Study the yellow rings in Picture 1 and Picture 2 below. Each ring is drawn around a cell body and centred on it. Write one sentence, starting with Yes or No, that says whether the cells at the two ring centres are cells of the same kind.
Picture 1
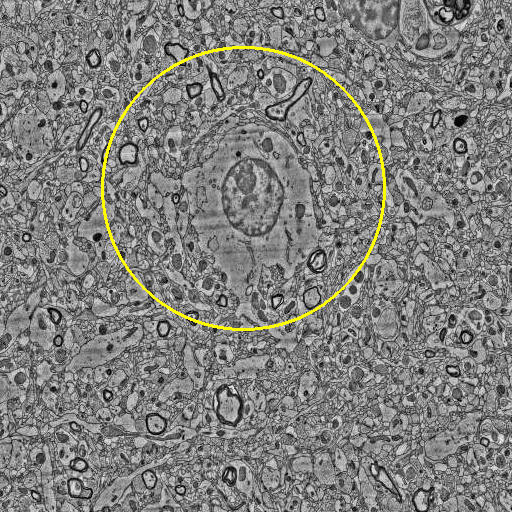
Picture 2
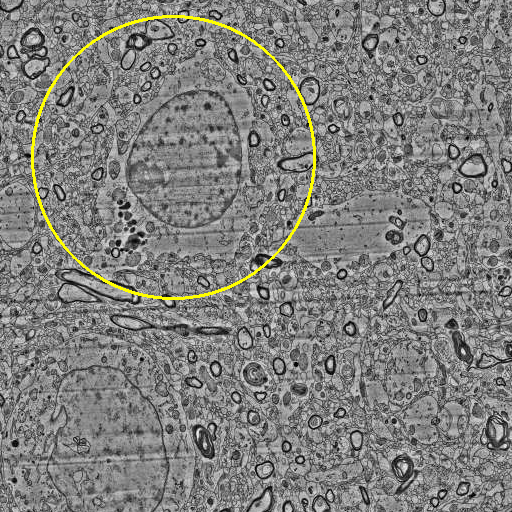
Yes, the cells at both ring centres are of the same kind.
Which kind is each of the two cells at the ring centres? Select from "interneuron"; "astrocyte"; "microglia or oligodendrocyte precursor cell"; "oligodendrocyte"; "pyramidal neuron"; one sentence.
In each of the two pictures, the ringed cell is an astrocyte.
